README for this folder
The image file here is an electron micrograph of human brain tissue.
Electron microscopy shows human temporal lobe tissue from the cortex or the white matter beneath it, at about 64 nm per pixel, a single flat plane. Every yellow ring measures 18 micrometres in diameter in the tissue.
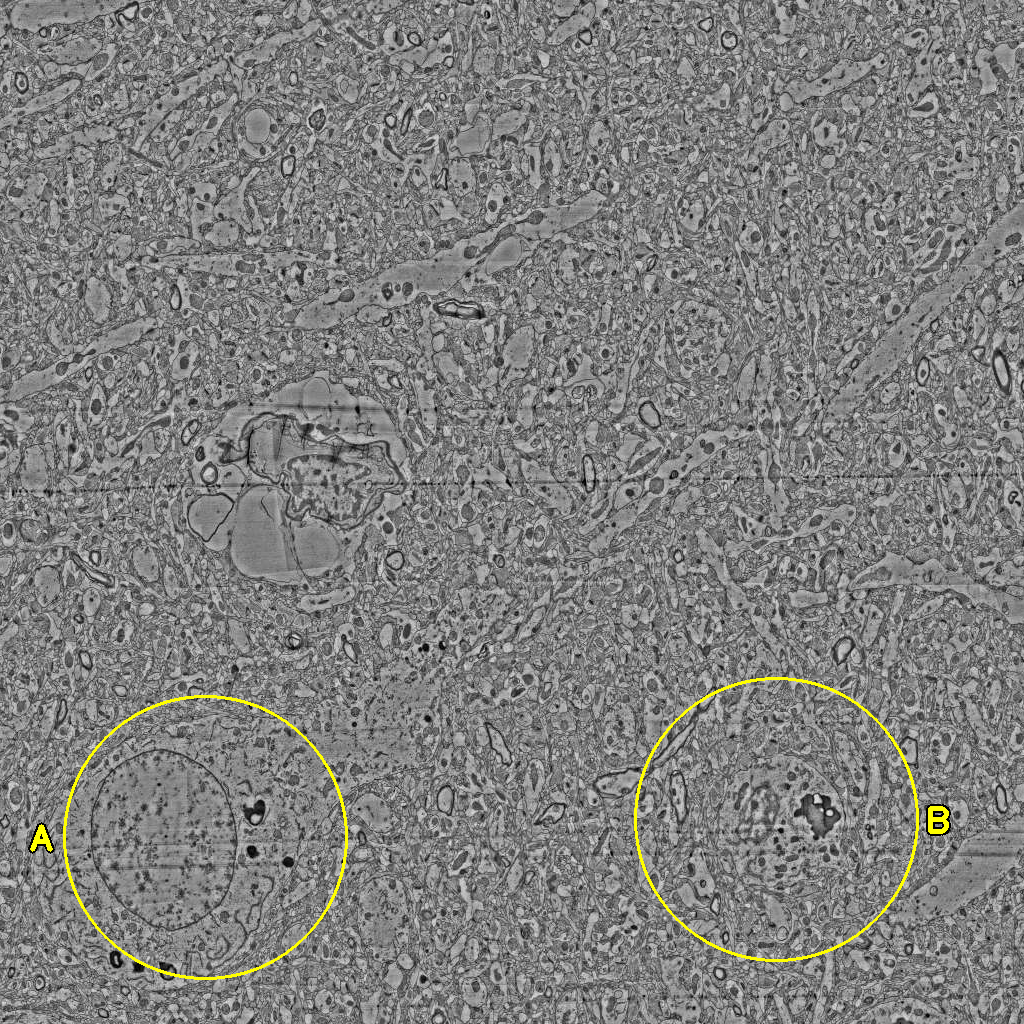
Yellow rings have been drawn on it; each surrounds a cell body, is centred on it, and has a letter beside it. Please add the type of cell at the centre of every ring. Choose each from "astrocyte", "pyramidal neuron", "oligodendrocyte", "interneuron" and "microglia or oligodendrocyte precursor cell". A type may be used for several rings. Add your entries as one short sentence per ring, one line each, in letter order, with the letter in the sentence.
Ring A marks the cell body of a pyramidal neuron.
Ring B marks the cell body of an interneuron.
